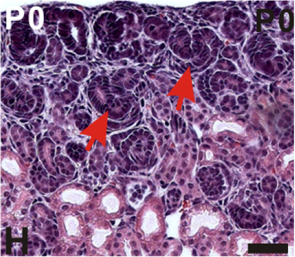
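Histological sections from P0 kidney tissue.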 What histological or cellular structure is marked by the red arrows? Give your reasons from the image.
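S-shaped bodies. Arrows point to compact, curved epithelial structures of densely packed purple nuclei in the outer cortex. These lie beneath the surface, above the deeper pink tubules with open lumens.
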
